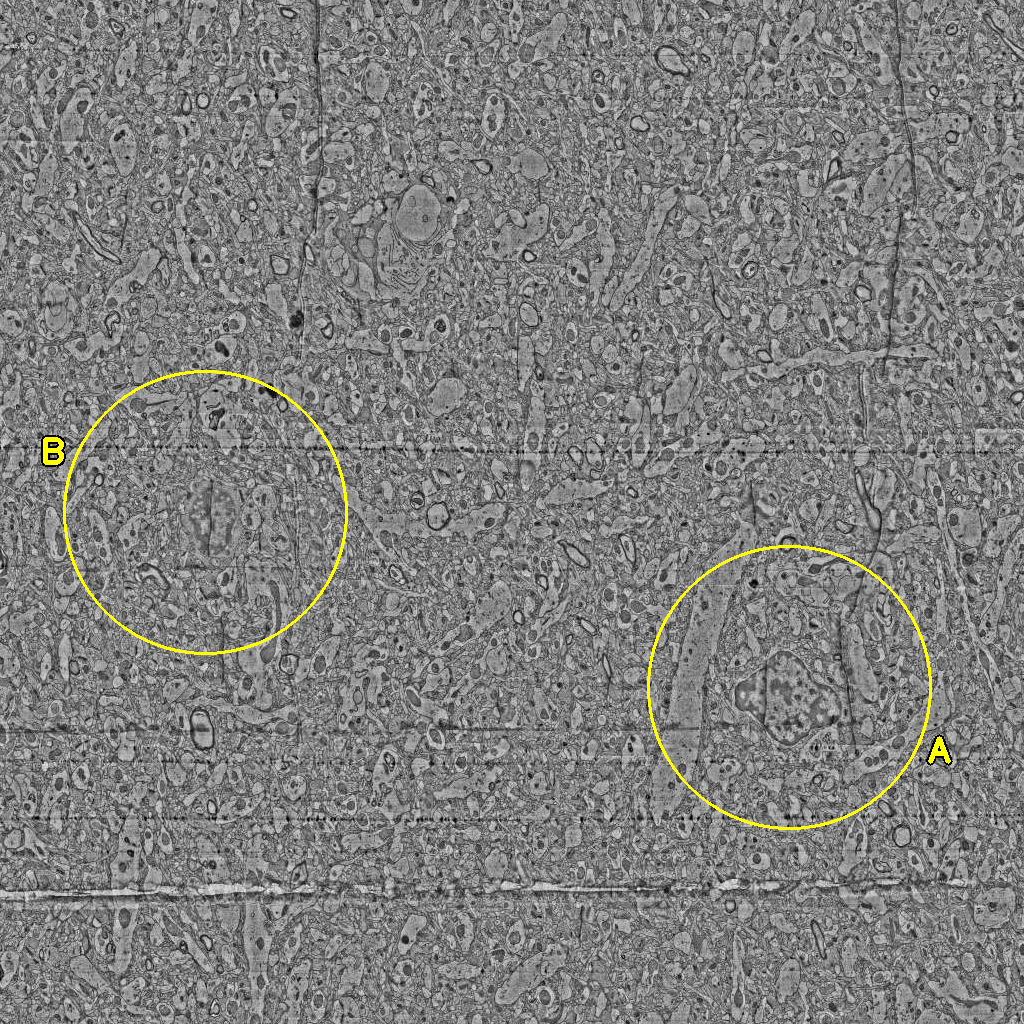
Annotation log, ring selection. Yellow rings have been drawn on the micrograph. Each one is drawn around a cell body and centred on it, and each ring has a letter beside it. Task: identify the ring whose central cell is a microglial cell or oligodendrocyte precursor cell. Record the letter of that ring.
A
